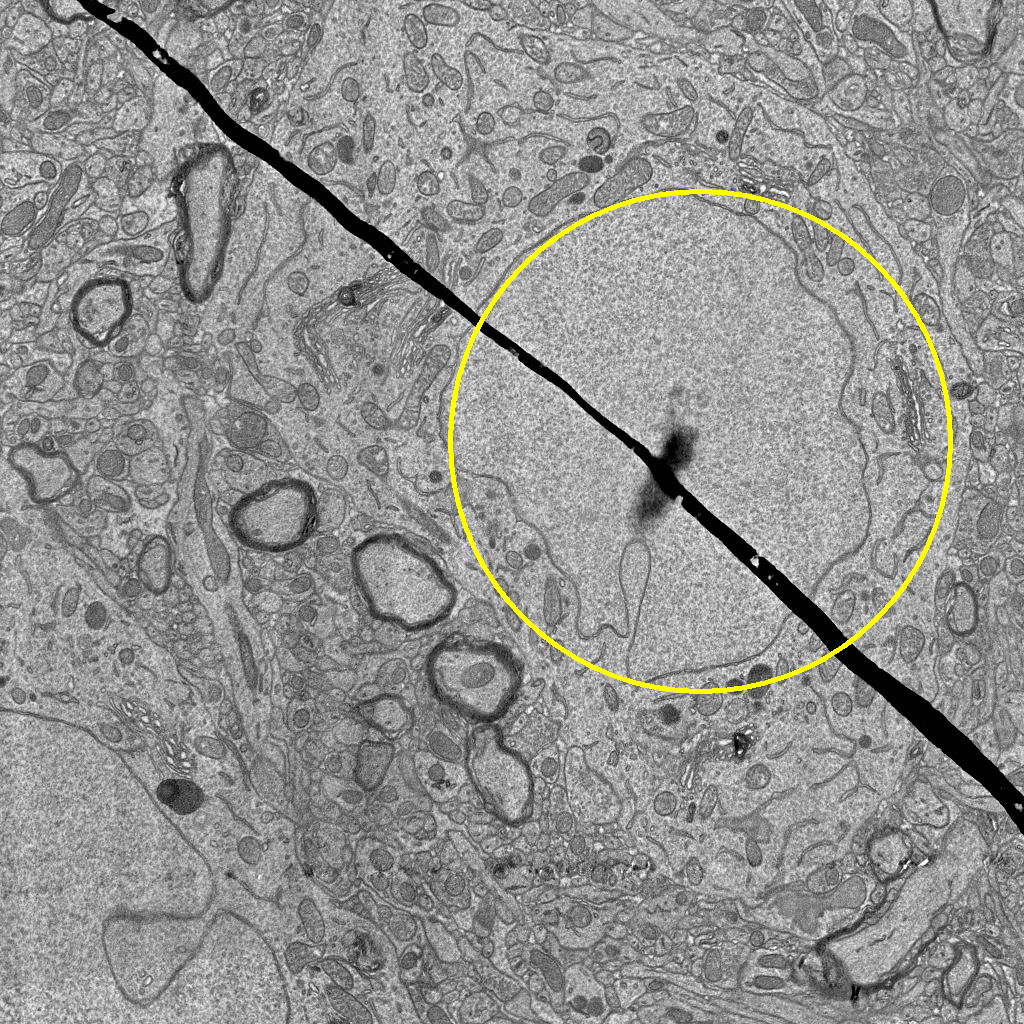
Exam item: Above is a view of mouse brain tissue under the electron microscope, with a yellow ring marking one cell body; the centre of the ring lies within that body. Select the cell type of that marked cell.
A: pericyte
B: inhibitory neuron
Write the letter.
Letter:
B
